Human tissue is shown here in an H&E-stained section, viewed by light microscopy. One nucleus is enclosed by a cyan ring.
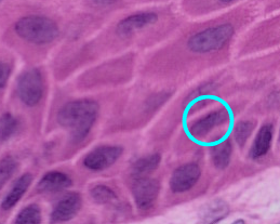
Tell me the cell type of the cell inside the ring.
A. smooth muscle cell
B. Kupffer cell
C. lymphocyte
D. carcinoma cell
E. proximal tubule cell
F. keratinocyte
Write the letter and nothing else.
F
